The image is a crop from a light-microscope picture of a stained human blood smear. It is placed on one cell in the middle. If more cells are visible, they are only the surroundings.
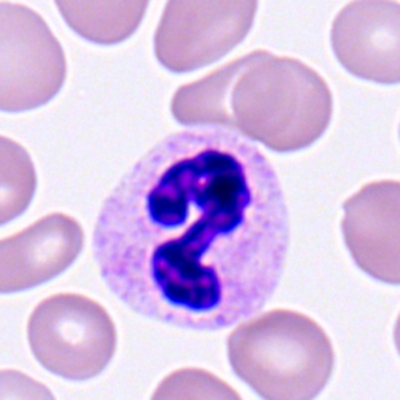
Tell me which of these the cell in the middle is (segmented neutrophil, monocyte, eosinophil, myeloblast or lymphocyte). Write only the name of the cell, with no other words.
segmented neutrophil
